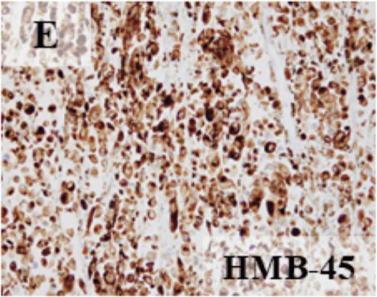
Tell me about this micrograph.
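Here the same tumor cells are seen in a densely cellular field, and a large share of them are filled with a strong brown reaction product in their cytoplasm. The brown varies from cell to cell: some cells are intensely dark, others only faintly tinted, and a few are pale. Where the brown is weaker you can make out round to oval nuclei in blue. The cells are crowded in sheets, with a few thin streaks of paler tissue running between groups of them. Overall, the staining is diffuse across most of the tumor rather than confined to a small cluster.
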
